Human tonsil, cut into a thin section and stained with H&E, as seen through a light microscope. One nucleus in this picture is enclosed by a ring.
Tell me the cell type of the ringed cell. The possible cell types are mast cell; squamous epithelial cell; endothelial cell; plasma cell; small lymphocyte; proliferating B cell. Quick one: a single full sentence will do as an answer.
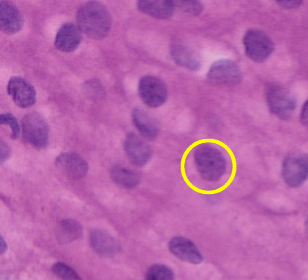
Cell type answer for this item: the ringed cell is a squamous epithelial cell.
